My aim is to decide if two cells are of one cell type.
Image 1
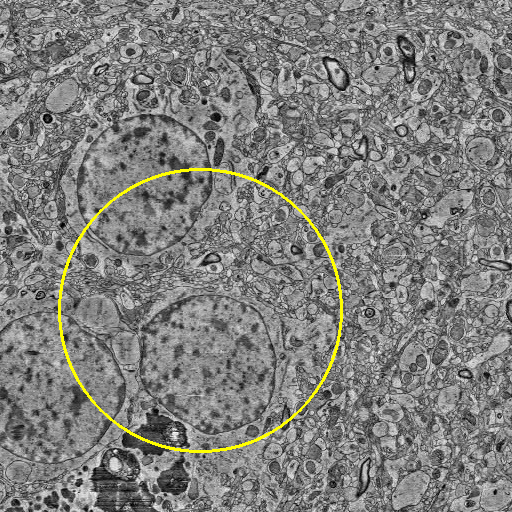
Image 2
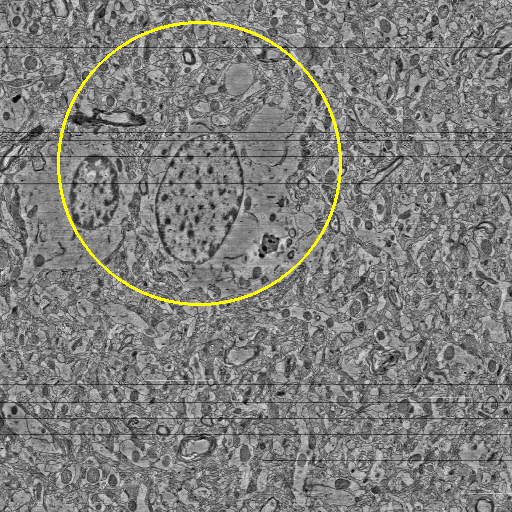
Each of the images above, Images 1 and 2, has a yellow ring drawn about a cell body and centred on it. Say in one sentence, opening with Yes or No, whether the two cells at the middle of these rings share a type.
Yes, in Images 1 and 2 the cells at the middle of the rings share one type.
